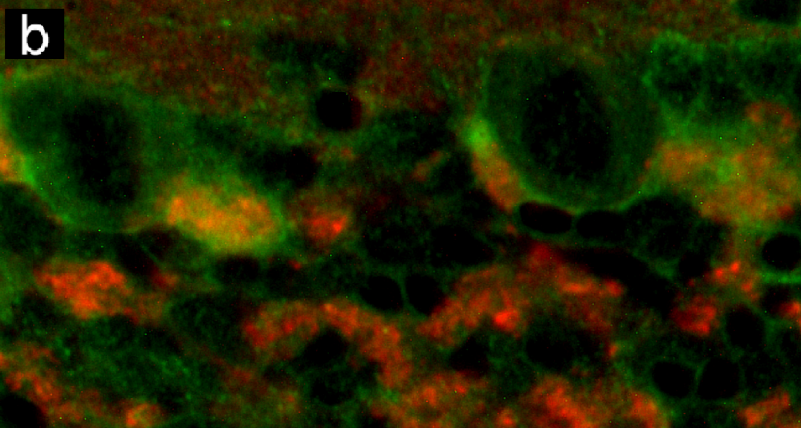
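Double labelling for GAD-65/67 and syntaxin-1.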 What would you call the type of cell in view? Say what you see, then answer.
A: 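Purkinje neuron bodies. Two large cell bodies with broad green cytoplasm sit in a row across the upper half. Each large body has a large, dark, round nucleus. Below them lie many small, closely packed dark nuclei.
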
